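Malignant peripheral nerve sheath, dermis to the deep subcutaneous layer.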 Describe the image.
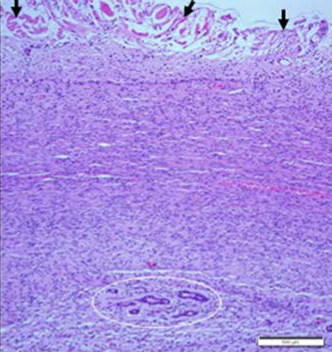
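Beneath a surface band of pink, wavy dermal collagen lies a less cellular spindle cell proliferation with slender nuclei streaming in parallel through pale pink stroma. Near the bottom, a cluster of small epithelial tubules of entrapped skin appendages lies within the tumor.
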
